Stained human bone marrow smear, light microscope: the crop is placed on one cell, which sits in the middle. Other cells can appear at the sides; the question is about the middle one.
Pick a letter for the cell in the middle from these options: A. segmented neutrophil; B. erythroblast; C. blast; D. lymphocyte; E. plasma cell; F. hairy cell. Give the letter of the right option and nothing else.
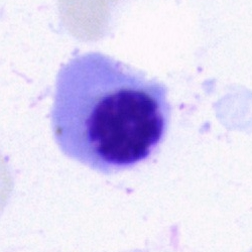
B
